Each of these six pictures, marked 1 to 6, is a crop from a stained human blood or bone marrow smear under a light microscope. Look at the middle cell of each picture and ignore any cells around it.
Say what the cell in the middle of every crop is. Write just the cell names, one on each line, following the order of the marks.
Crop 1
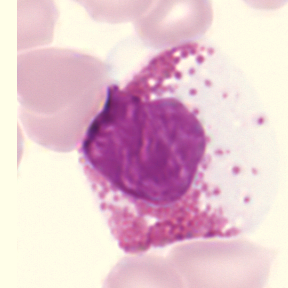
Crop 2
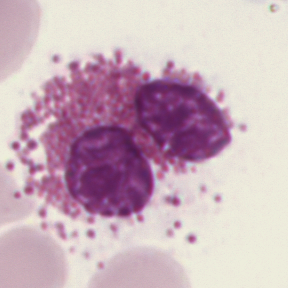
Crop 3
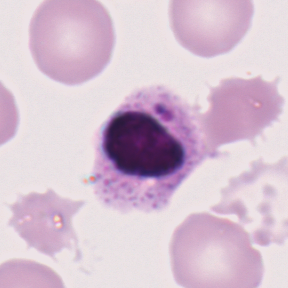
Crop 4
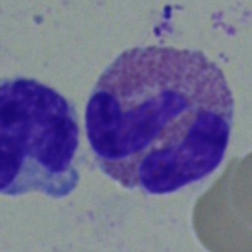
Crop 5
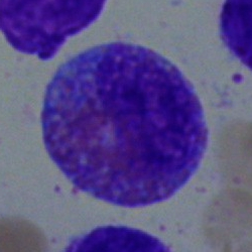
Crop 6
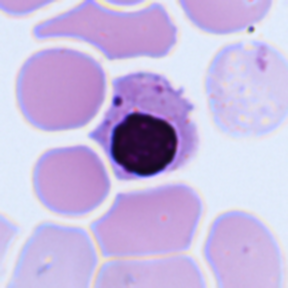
eosinophil
eosinophil
erythroblast
eosinophil
eosinophil
erythroblast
